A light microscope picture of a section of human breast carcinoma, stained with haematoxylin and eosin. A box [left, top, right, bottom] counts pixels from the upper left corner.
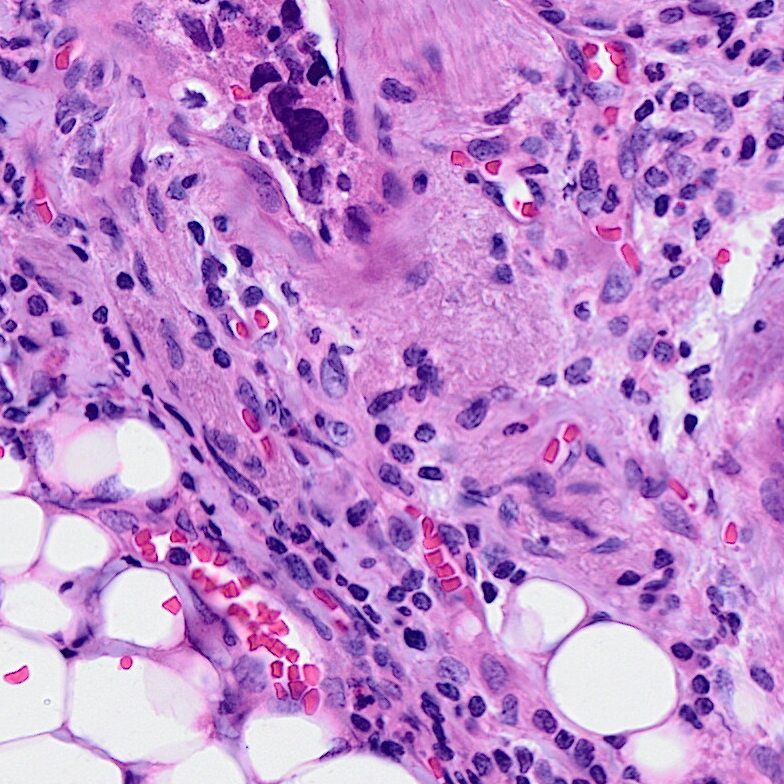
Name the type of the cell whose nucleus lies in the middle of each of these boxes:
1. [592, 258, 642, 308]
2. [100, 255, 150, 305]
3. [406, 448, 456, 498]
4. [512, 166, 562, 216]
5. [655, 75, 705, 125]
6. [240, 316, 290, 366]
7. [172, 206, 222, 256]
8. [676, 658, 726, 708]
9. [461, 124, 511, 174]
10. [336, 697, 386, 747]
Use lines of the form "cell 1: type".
cell 1: endothelial cell
cell 2: lymphocyte
cell 3: lymphocyte
cell 4: endothelial cell
cell 5: lymphocyte
cell 6: endothelial cell
cell 7: lymphocyte
cell 8: lymphocyte
cell 9: endothelial cell
cell 10: lymphocyte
